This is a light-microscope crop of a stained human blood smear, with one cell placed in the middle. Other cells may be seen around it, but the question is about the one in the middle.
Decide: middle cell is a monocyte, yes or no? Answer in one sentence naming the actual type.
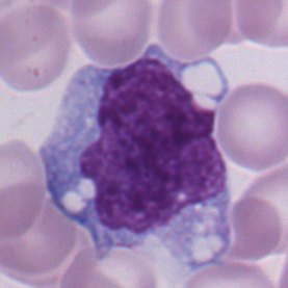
Yes, in this crop the cell in the middle is a monocyte.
